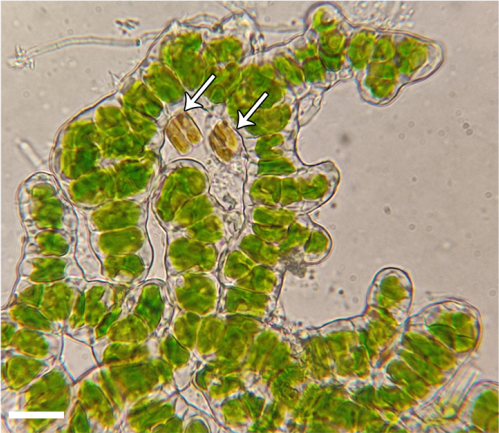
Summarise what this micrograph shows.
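This is a mat of green photosynthetic microalgae with a couple of diatoms among them. Most cells are bright green, roughly cuboidal to rounded, and lie packed in short rows and packets, enclosed by a clear gelatinous sheath whose outline is visible around the lobed, branching colony edges. Cells in a row are pressed flat against one another, giving a segmented look.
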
